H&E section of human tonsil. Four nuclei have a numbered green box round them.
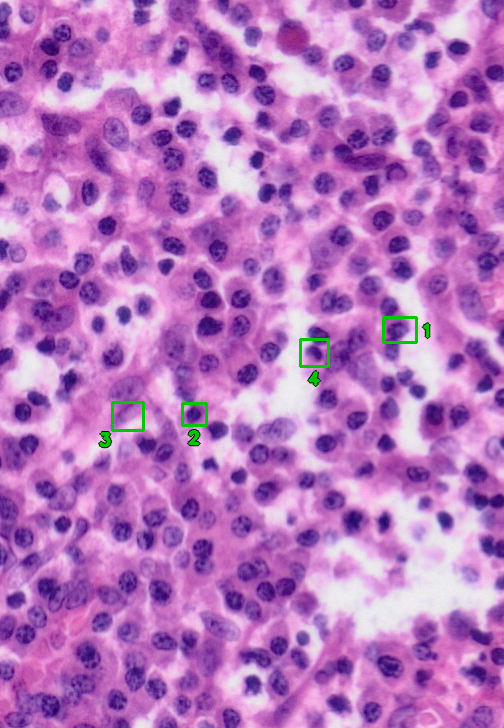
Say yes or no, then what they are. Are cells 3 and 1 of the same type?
No, cell 3 is a squamous epithelial cell and cell 1 is a plasma cell.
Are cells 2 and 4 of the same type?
No, cell 2 is a plasma cell and cell 4 is a squamous epithelial cell.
